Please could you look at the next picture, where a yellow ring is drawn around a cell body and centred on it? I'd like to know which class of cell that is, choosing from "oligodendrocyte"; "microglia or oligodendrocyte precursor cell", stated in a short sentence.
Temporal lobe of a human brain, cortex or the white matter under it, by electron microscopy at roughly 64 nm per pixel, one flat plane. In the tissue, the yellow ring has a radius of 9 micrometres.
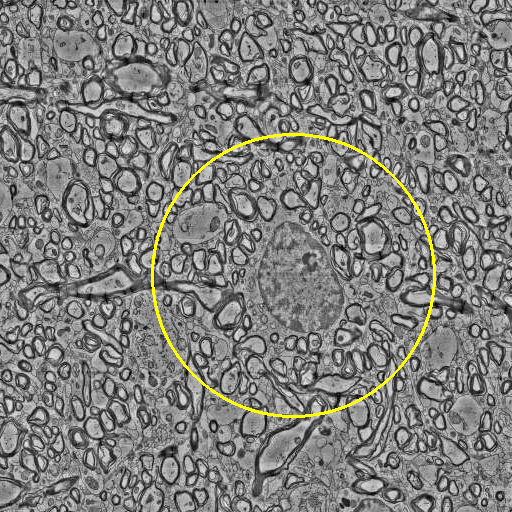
The ring's centre lies on an oligodendrocyte.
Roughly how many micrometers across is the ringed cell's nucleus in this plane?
The ringed cell's nucleus measures approximately 8 by 5 micrometres in this plane.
